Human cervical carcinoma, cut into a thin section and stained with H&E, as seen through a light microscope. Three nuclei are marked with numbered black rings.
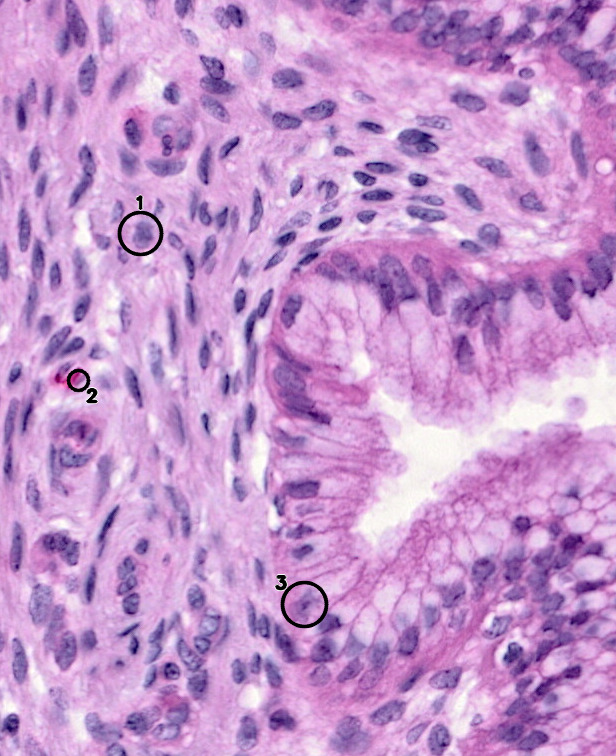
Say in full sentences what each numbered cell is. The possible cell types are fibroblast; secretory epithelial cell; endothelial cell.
Cell 1 is a fibroblast, cell 2 is an endothelial cell and cell 3 is a secretory epithelial cell.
